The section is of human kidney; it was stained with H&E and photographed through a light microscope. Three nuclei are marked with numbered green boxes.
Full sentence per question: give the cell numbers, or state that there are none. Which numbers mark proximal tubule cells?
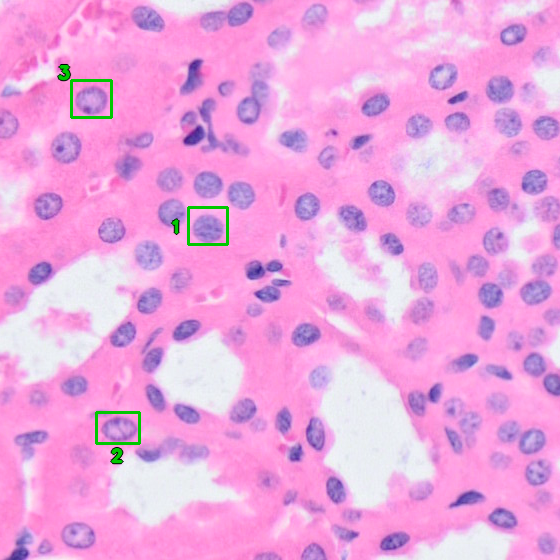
Classified as proximal tubule cells are the cells numbered 2 and 3.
